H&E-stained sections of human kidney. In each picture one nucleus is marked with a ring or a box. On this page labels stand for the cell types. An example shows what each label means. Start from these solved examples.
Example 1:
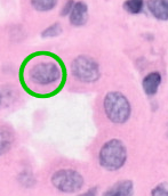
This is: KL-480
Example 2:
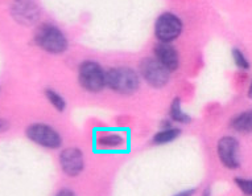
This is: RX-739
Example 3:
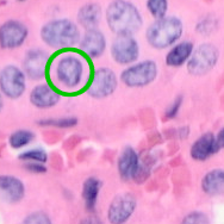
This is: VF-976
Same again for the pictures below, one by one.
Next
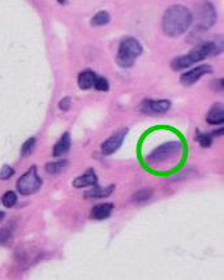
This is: RX-739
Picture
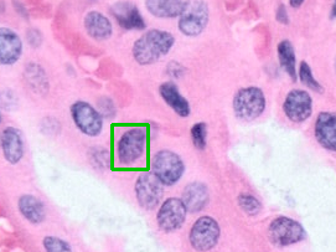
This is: VF-976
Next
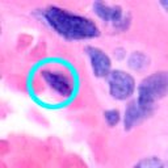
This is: RX-739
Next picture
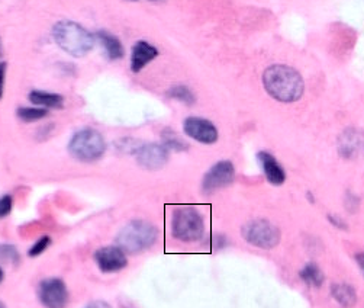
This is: KL-480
